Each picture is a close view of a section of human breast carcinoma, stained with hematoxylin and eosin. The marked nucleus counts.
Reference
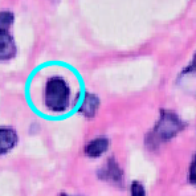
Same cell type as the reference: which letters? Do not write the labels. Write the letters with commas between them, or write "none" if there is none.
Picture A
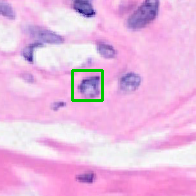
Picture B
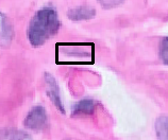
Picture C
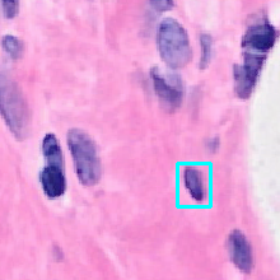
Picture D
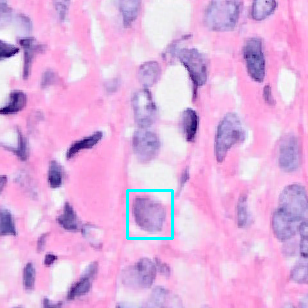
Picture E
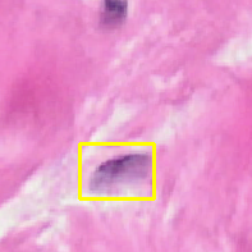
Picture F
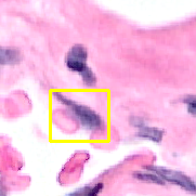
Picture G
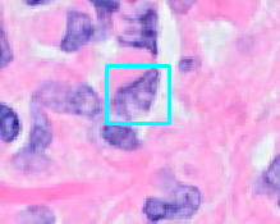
C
